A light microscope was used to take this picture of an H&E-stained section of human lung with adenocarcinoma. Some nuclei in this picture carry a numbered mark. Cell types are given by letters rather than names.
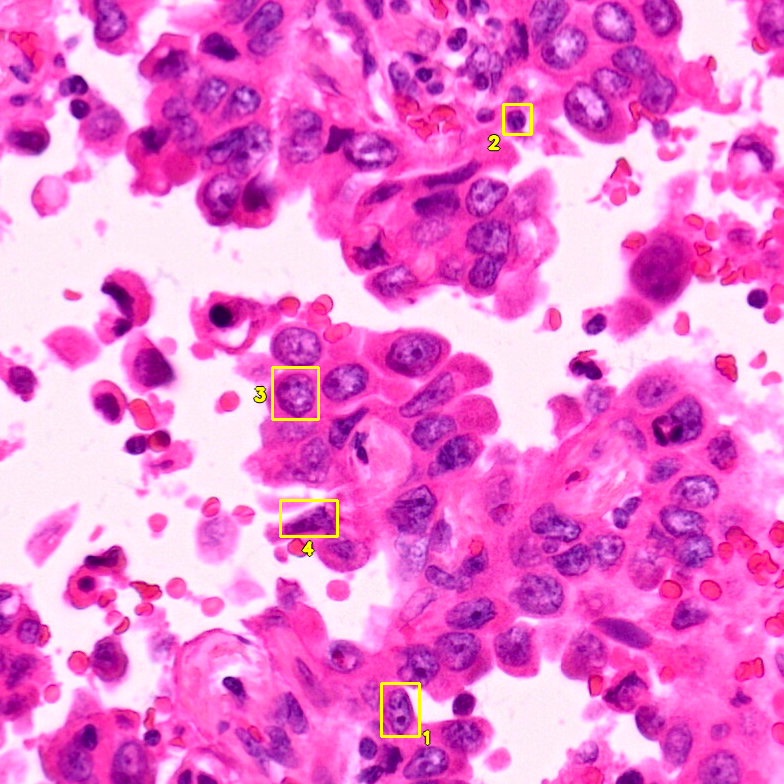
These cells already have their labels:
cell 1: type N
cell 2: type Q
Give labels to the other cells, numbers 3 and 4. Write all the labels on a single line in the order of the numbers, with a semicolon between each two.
type N; type N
